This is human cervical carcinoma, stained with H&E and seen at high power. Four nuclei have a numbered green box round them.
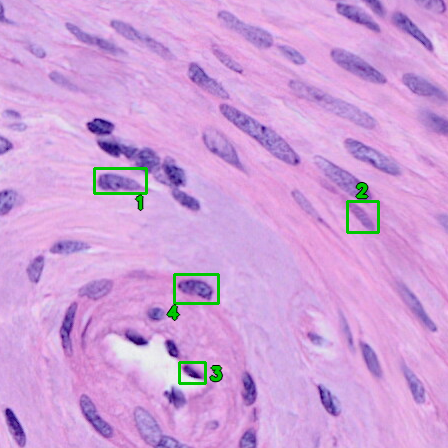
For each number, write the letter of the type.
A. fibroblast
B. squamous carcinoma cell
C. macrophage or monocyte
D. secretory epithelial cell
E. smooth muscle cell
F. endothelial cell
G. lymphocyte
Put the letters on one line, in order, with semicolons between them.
A; E; F; E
